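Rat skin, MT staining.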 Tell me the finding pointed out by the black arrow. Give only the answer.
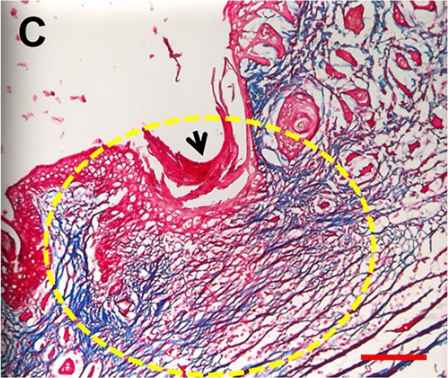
Large gap area.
